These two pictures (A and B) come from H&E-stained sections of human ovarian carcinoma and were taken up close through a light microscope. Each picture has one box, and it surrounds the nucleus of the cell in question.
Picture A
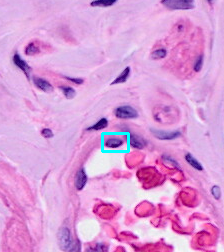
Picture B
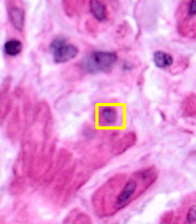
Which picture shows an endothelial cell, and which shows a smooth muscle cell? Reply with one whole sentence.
It is picture A that shows an endothelial cell, and picture B that shows a smooth muscle cell.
